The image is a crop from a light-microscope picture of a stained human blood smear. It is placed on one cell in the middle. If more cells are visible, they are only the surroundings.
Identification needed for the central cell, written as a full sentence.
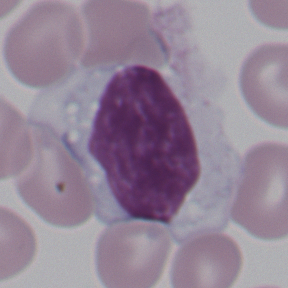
The cell at the central position in this crop is a typical lymphocyte.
